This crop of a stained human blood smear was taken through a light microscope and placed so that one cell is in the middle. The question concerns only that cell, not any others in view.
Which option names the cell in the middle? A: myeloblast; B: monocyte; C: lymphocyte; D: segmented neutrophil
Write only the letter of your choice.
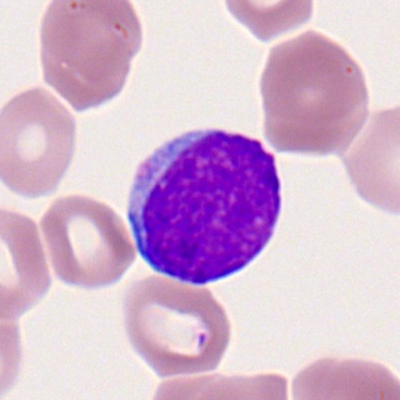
C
